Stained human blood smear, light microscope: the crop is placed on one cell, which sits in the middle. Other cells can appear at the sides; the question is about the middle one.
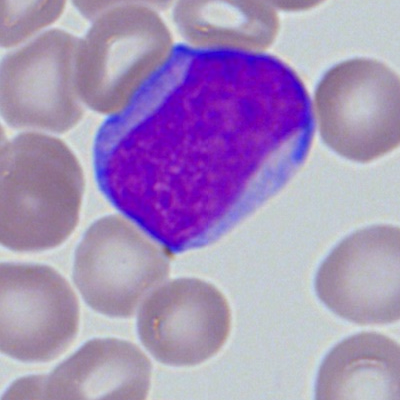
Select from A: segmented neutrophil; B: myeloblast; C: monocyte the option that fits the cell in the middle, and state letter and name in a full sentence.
Option B correctly states that the central cell is a myeloblast.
